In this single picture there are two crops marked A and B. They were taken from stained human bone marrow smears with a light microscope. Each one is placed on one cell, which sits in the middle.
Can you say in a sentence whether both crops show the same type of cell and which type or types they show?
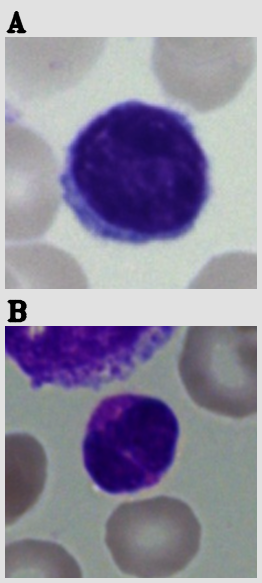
No, crop A shows a lymphocyte, whereas in crop B the cell is a basophil.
